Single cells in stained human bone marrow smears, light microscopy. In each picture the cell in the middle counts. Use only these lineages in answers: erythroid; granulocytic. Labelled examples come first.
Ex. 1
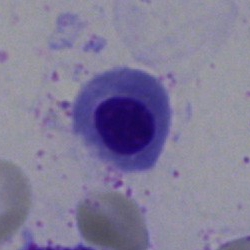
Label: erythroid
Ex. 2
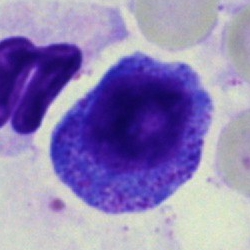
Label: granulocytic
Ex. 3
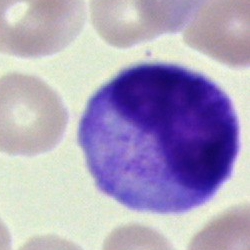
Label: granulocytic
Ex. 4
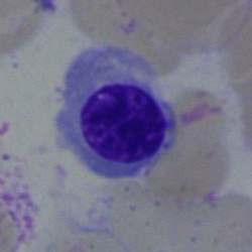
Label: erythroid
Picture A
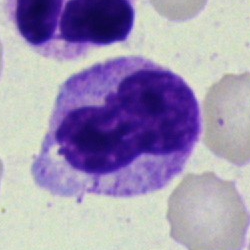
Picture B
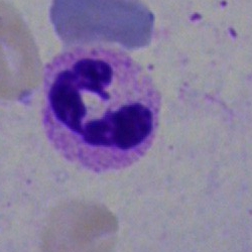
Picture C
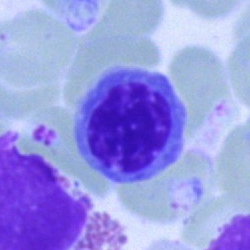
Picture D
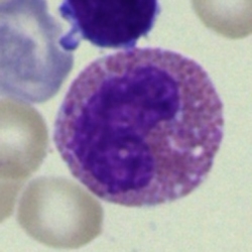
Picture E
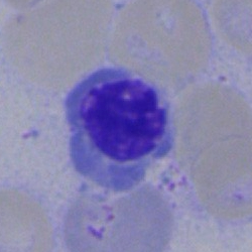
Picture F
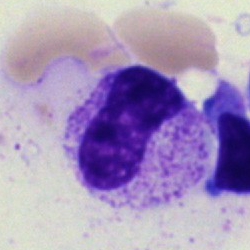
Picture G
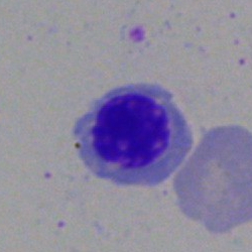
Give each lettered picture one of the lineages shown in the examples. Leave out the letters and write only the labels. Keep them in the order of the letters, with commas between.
granulocytic, granulocytic, erythroid, granulocytic, erythroid, granulocytic, erythroid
